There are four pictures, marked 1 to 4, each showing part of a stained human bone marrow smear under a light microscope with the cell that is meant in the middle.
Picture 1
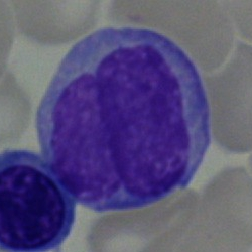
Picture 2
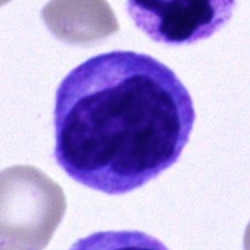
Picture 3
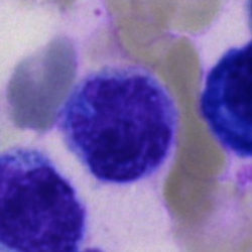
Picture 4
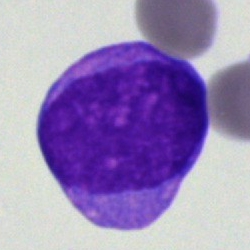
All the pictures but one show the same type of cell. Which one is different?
4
